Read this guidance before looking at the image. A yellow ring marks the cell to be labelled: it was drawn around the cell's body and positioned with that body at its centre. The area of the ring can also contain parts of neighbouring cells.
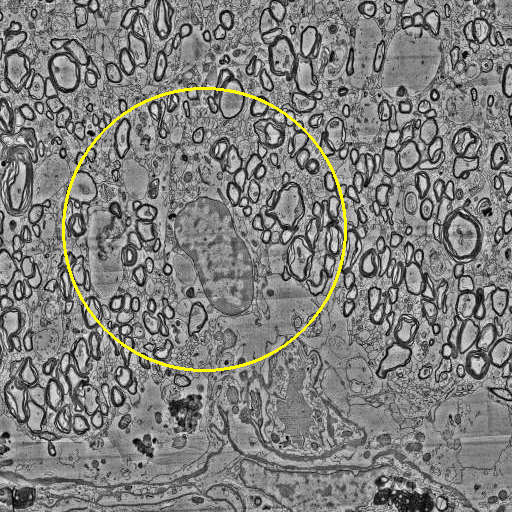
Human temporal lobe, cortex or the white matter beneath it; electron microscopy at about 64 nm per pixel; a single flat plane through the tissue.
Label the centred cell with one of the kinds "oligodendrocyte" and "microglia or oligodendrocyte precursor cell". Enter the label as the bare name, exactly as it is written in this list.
microglia or oligodendrocyte precursor cell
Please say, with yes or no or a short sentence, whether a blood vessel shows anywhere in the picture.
Yes, a blood vessel shows in the picture.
